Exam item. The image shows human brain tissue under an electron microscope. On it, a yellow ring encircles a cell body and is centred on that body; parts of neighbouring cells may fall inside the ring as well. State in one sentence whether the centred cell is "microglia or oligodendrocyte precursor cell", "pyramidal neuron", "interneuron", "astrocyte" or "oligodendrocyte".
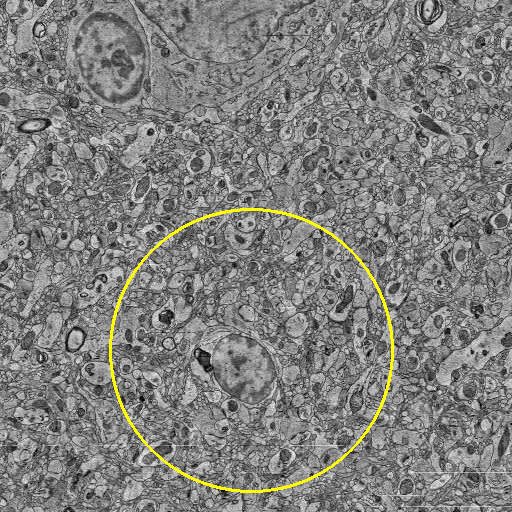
The cell body centred in the ring is a microglial cell or oligodendrocyte precursor cell.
